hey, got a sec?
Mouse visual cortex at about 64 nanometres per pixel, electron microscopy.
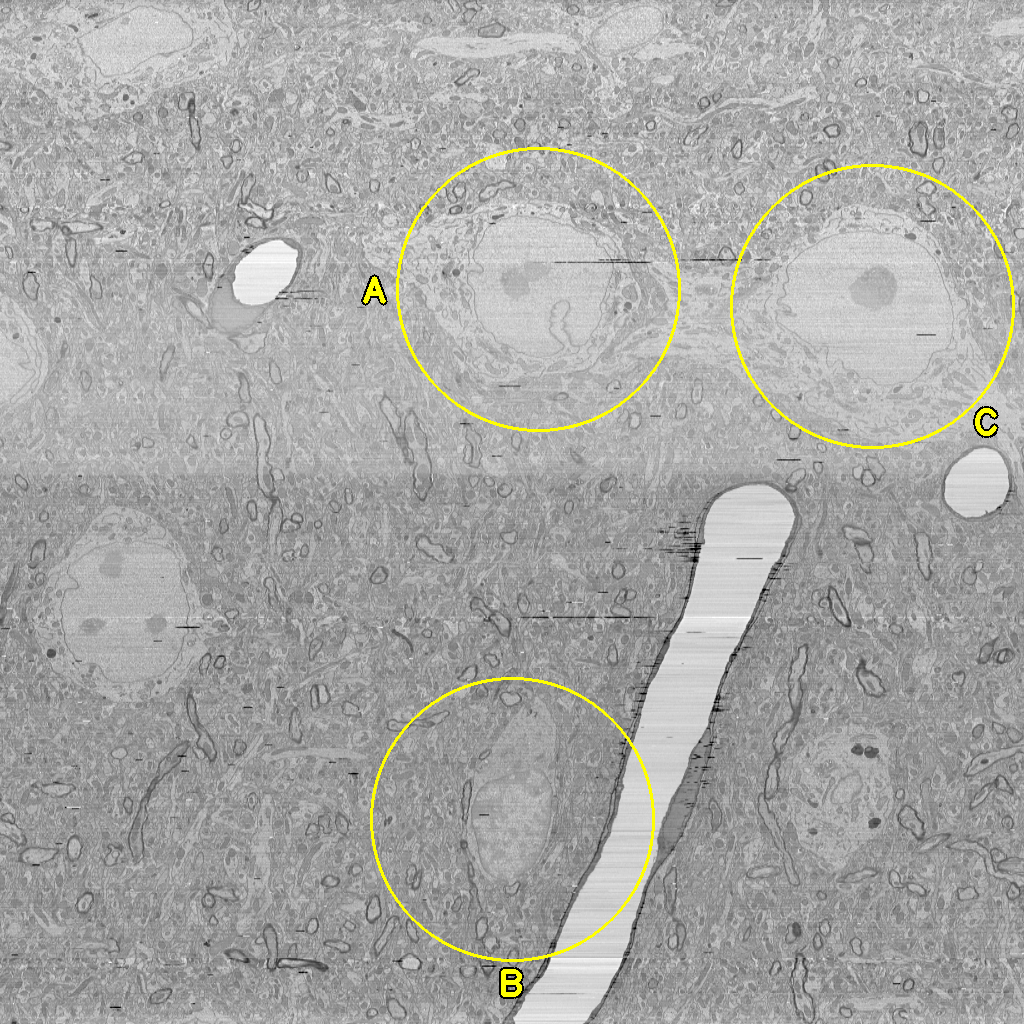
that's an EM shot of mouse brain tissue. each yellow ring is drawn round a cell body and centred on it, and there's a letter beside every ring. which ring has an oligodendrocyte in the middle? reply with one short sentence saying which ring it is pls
Ring B is the one centred on it.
